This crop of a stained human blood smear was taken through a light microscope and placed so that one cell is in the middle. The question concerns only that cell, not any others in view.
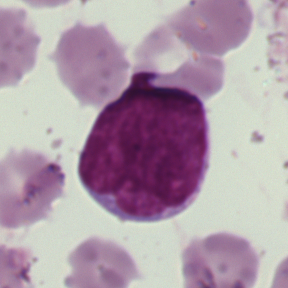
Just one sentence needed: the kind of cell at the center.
The cell centered in this field of view is a blast.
